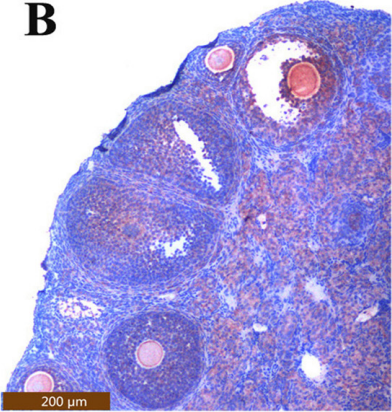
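The cortex of an ovary holds several growing follicles, each a rounded mass of densely packed granulosa cells, some with a cleft-like or open cavity and a central round oocyte. Red-brown stain is spread through the follicle cell layers and the tissue between them, while the edges of the follicles and the surface appear bluer.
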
